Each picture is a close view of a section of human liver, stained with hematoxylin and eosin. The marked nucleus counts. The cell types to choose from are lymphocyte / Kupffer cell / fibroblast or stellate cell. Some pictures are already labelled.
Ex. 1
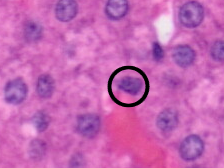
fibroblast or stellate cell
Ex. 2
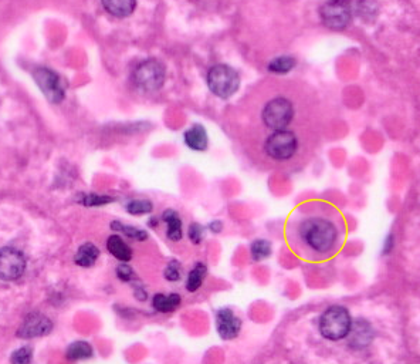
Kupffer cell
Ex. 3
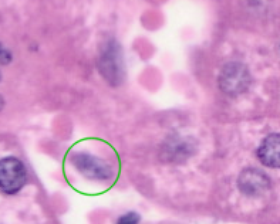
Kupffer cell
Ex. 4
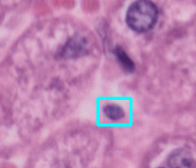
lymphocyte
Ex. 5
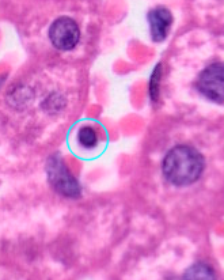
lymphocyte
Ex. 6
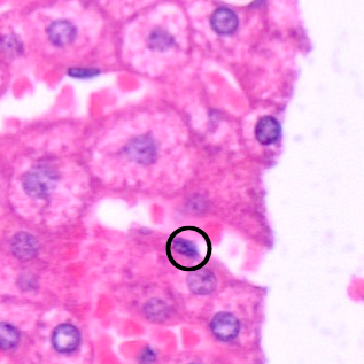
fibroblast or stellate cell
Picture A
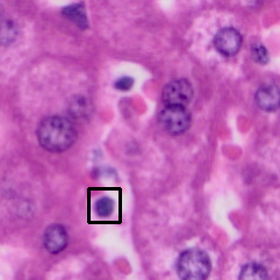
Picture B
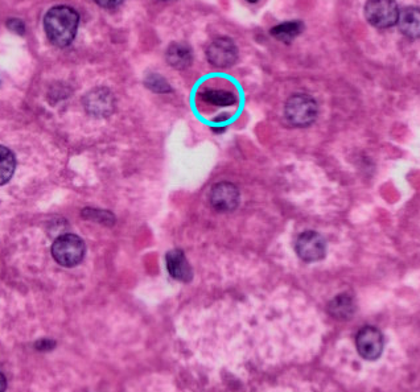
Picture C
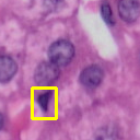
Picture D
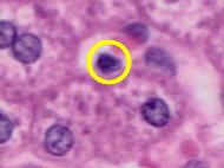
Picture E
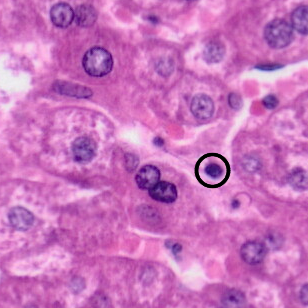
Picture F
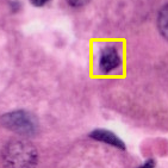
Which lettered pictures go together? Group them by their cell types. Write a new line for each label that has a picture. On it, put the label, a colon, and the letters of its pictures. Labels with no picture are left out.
lymphocyte: A, D, E
fibroblast or stellate cell: B, C, F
